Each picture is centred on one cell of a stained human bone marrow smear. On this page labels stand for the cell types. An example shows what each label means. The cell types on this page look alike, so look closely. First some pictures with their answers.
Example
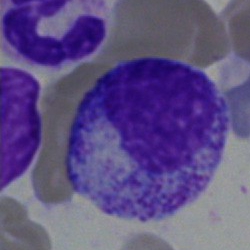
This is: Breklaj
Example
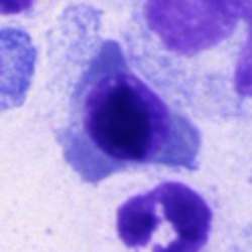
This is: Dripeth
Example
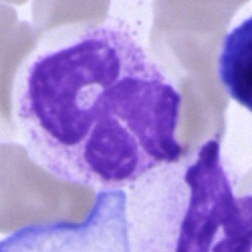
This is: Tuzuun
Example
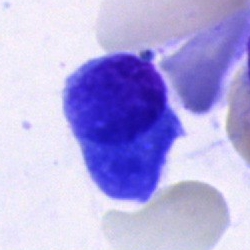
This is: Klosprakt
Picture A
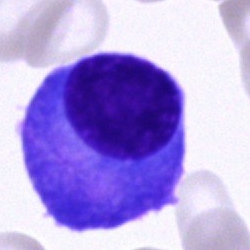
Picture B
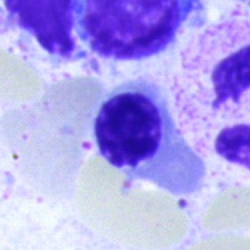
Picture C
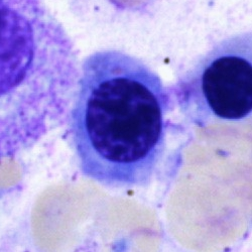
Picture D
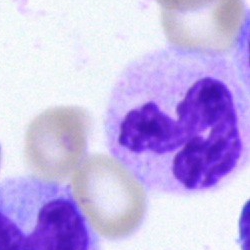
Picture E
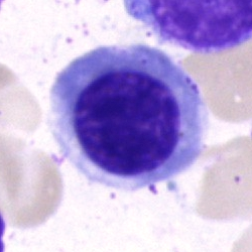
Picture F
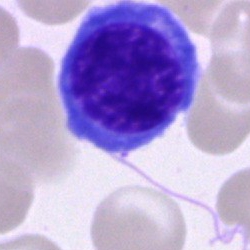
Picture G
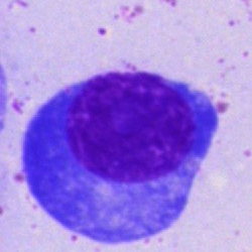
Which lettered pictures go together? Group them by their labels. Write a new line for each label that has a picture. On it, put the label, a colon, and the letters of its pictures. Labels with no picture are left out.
Dripeth: B, C, E, F
Tuzuun: D
Klosprakt: A, G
